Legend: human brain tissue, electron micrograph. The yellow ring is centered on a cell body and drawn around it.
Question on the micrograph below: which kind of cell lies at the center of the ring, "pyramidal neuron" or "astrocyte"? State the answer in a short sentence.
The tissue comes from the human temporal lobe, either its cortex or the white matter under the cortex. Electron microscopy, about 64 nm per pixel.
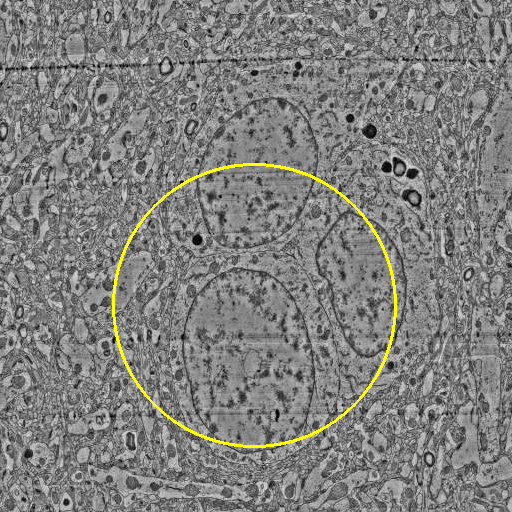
At the center of the ring lies a pyramidal neuron.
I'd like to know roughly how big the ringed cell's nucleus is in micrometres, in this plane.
In this plane the nucleus measures roughly 12 by 8 micrometers.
